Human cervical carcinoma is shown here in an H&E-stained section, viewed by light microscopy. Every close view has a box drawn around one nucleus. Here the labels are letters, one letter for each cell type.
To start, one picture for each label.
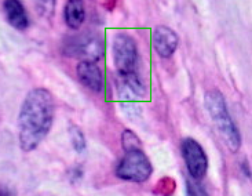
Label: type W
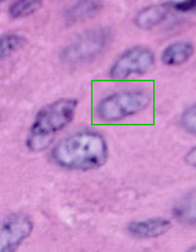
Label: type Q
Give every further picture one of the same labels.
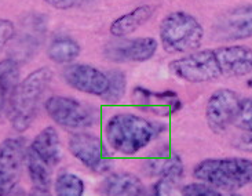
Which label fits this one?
type Q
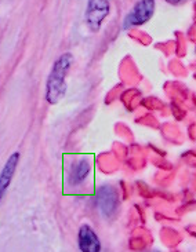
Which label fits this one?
type W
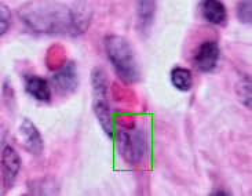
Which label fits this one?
type W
